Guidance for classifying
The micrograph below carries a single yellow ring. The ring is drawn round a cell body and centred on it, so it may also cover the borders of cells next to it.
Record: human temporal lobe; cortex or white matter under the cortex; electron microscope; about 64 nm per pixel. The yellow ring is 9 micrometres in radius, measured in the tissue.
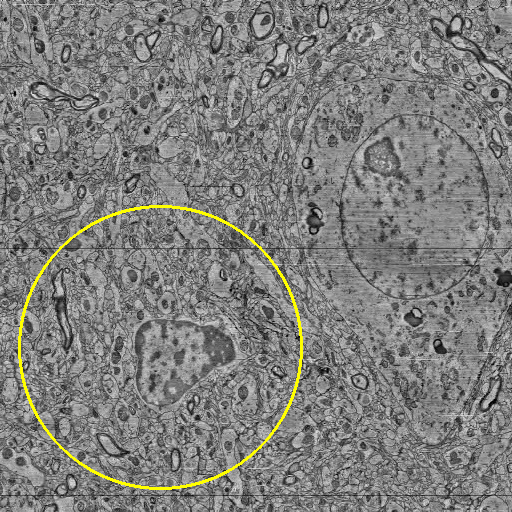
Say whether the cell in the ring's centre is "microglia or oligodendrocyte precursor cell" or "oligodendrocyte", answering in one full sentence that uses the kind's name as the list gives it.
Within the yellow ring, a microglial cell or oligodendrocyte precursor cell is the cell whose body sits at the centre.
